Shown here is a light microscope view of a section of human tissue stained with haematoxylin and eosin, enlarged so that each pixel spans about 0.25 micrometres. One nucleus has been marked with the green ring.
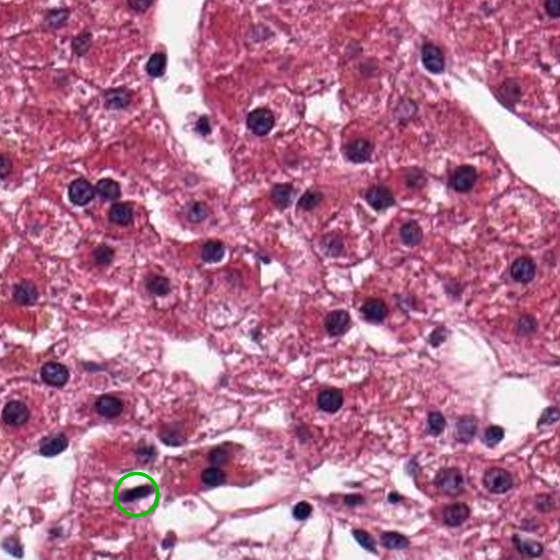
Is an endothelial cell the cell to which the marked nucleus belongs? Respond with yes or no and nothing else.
yes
